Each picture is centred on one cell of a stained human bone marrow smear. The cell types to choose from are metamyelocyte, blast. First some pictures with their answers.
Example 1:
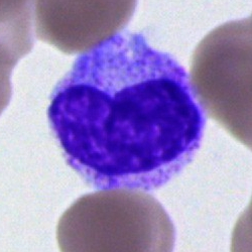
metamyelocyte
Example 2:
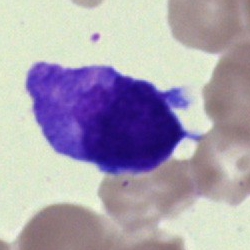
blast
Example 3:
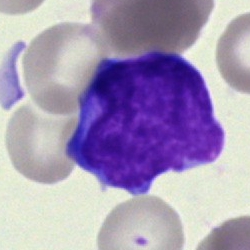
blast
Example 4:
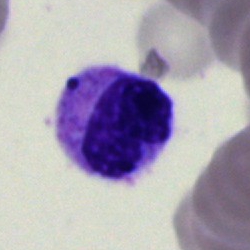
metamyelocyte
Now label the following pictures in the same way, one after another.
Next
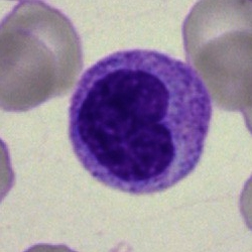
metamyelocyte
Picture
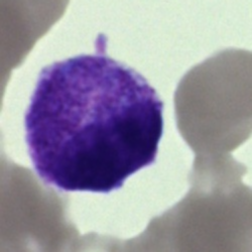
blast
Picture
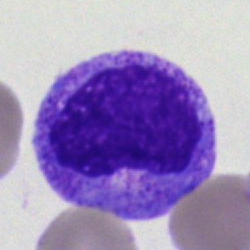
metamyelocyte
